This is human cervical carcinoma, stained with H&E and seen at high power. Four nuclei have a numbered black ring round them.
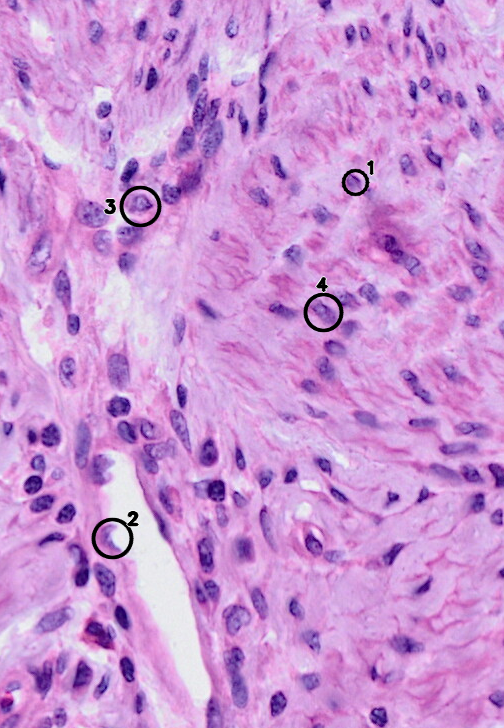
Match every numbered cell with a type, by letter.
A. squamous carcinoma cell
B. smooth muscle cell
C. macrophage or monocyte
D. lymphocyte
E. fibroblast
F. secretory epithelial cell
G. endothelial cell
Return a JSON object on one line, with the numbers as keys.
{"1": "B", "2": "G", "3": "G", "4": "B"}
